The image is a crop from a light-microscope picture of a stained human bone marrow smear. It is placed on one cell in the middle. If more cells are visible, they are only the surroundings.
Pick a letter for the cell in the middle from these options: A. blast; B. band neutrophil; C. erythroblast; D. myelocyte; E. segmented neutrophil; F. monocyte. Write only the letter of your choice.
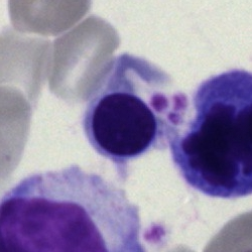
C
